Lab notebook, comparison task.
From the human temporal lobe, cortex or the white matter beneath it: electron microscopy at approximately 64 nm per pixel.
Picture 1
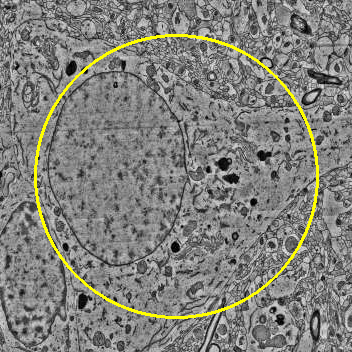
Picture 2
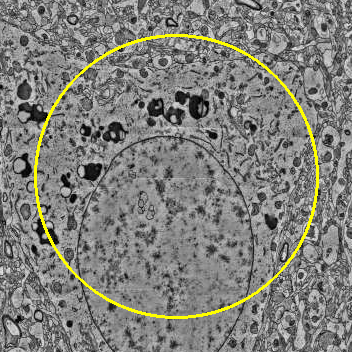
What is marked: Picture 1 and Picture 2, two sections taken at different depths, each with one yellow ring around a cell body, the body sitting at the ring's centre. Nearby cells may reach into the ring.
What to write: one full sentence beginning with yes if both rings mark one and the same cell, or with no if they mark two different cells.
No, the two rings mark two different cells.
